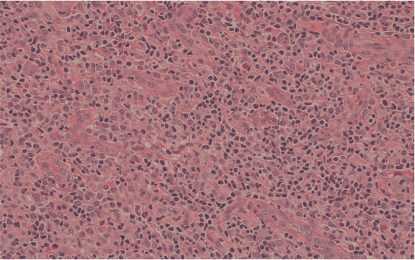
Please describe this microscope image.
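Lymph node with striking high endothelial venule hyperplasia: numerous branching small vessels lined by plump endothelial cells run through the field. The vessels divide the infiltrate into irregular cords and clusters; normal follicles are not seen.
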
